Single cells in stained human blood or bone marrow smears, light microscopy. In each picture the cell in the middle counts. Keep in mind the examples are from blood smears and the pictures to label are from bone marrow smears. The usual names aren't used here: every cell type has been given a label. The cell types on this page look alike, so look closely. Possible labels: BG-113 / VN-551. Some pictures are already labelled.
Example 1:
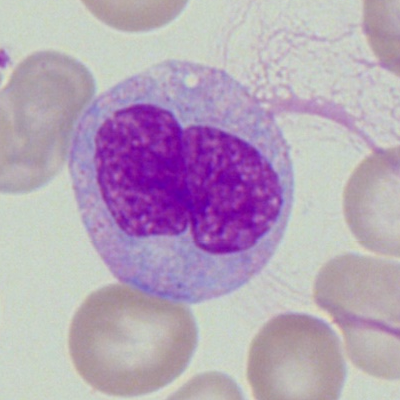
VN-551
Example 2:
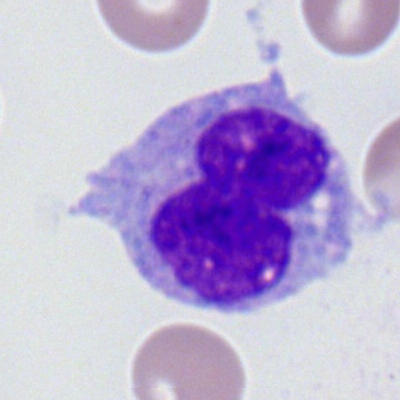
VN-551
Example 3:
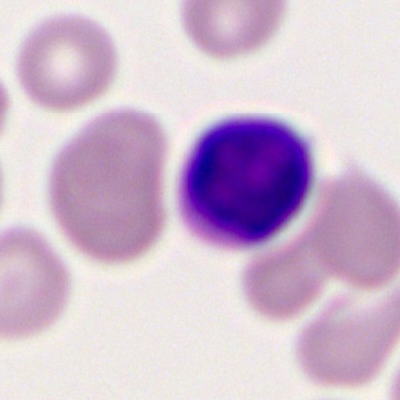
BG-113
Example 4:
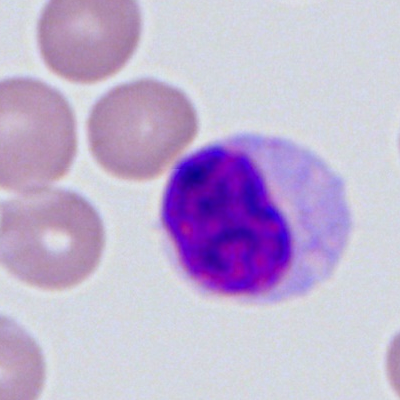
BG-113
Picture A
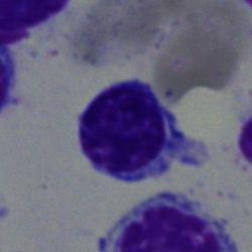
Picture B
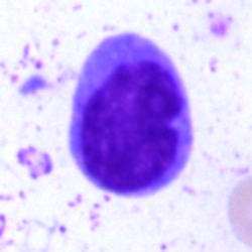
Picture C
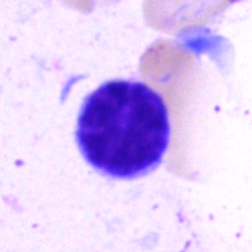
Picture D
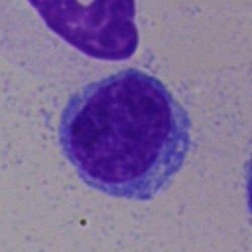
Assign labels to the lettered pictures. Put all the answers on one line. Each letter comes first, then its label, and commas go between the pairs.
A BG-113, B VN-551, C BG-113, D BG-113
